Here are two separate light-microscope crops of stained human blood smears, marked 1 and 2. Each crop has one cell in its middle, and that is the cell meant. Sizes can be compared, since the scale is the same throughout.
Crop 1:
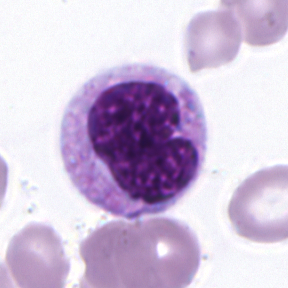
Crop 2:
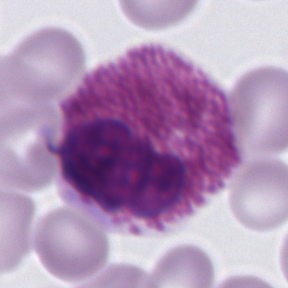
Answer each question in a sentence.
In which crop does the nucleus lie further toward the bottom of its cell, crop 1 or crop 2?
The nucleus in crop 2 lies further toward the bottom of its cell.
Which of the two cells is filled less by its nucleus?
It is the cell in crop 2 that is filled less by its nucleus.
